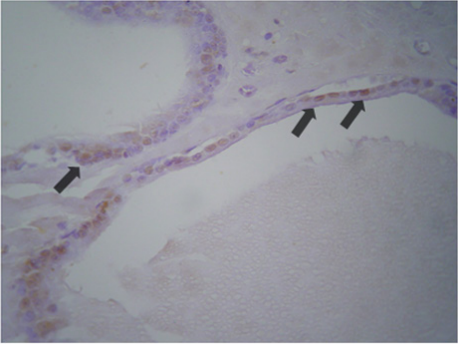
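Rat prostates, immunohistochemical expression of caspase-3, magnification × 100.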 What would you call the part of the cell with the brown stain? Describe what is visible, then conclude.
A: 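The brown colour lies in round to oval bodies inside the lining cells. These brown bodies sit where the blue nuclei sit in unstained cells.
Hence: nuclei.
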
